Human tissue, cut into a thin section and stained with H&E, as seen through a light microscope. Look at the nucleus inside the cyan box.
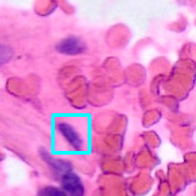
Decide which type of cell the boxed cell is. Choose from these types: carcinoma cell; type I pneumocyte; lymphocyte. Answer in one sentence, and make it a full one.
In the context of this tissue, the boxed cell is a type I pneumocyte.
